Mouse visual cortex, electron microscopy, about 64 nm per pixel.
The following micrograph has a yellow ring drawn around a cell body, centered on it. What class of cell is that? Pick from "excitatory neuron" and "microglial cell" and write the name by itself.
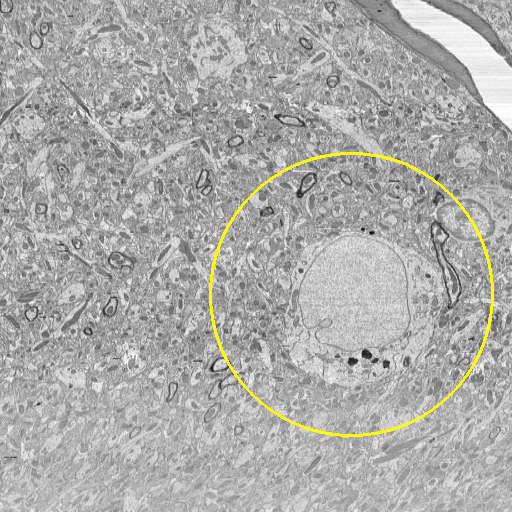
excitatory neuron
